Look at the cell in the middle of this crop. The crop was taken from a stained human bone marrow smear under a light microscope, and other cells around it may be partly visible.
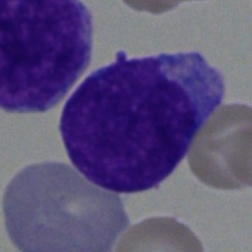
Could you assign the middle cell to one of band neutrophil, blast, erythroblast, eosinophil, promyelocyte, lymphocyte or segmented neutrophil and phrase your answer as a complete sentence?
At the middle of the frame sits a blast.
